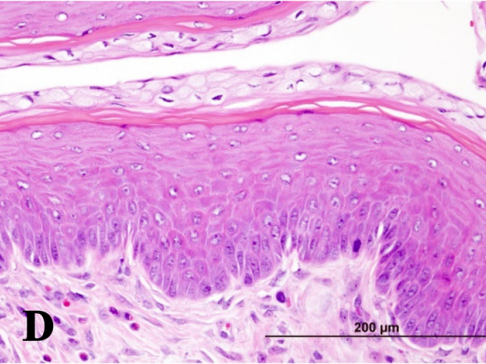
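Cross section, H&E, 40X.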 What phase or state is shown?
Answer: proestrus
